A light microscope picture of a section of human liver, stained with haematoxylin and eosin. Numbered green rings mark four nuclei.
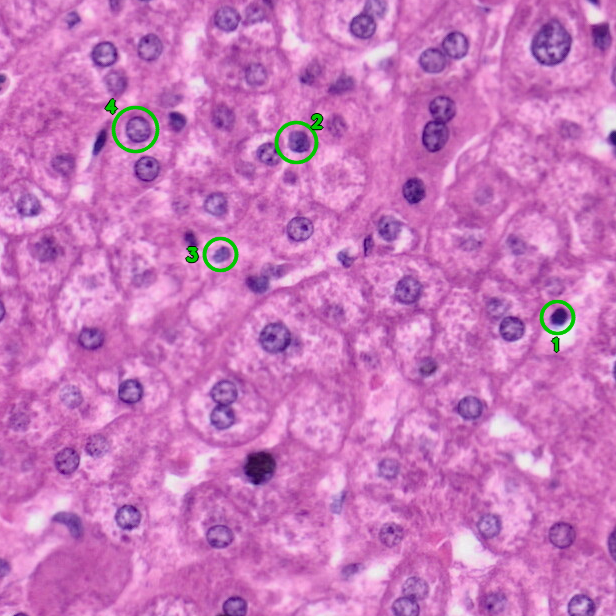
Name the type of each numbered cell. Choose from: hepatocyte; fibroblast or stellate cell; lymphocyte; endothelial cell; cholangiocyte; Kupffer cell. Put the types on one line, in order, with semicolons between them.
lymphocyte; endothelial cell; lymphocyte; hepatocyte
